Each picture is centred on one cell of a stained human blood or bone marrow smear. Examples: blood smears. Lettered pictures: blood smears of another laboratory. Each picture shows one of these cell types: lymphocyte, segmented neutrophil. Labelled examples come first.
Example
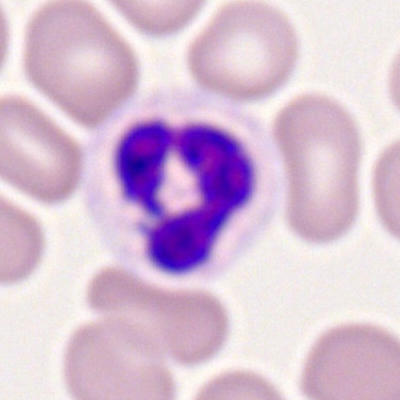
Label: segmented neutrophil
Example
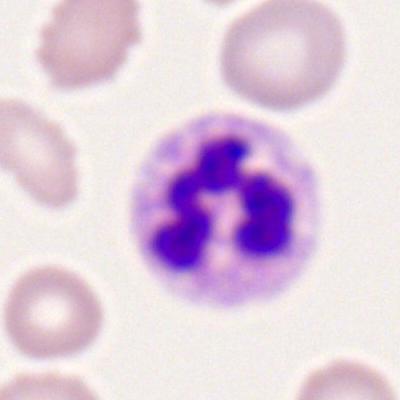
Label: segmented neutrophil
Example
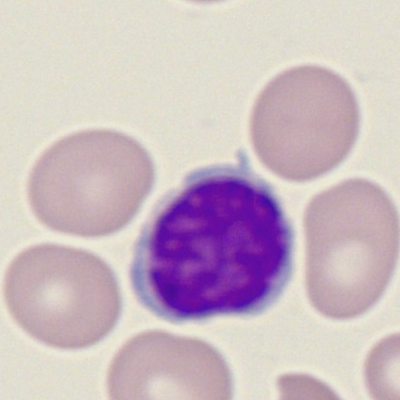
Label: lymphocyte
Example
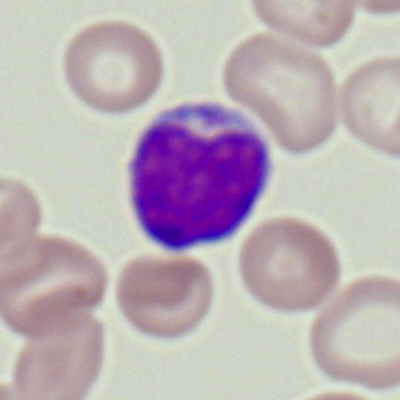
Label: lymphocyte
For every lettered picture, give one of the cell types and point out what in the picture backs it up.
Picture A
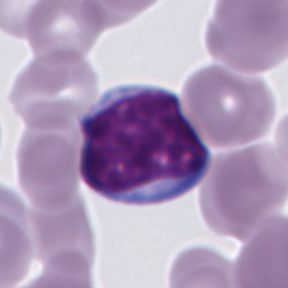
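Label: lymphocyte. The cytoplasm is a thin rim that is widest along the lower edge of the cell.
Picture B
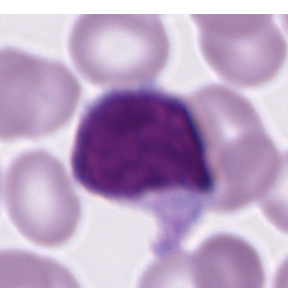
Label: lymphocyte. The cytoplasm is scant and pale lilac, lying mostly below the nucleus.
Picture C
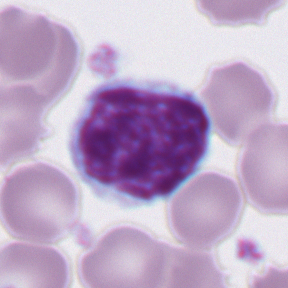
Label: lymphocyte. The cytoplasm forms only a thin rim around the nucleus.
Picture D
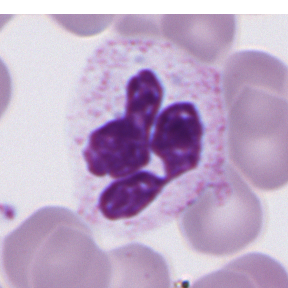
Label: segmented neutrophil. The cytoplasm is plentiful and very pale.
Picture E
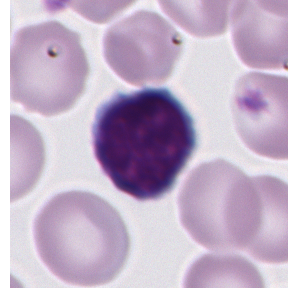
Label: lymphocyte. Cytoplasm shows only as a very thin blue rim at the edge of the nucleus.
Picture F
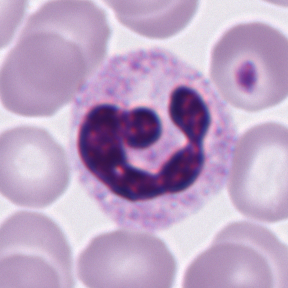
Label: segmented neutrophil. The nucleus is a thick curved band that wraps around a pale patch of cytoplasm and opens toward the top.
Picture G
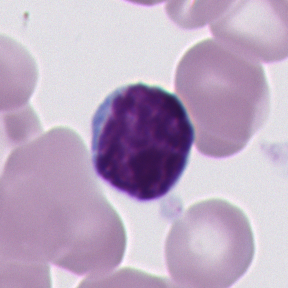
Label: lymphocyte. The cytoplasm is scant and shows mainly as a thin crescent on the left side.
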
